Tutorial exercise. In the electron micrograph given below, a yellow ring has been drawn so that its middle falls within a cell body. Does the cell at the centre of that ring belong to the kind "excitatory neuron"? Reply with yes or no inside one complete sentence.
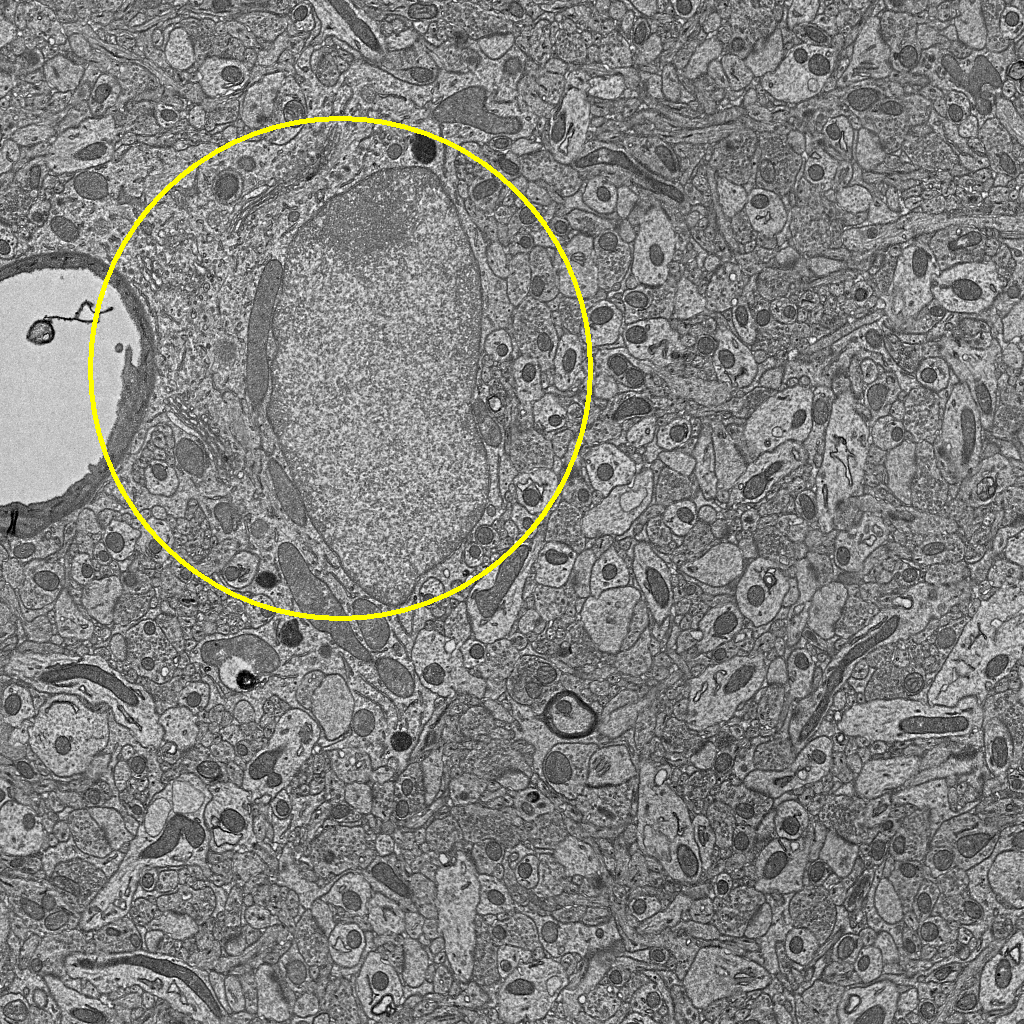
No, the cell at the centre of the ring in the picture is of a different kind.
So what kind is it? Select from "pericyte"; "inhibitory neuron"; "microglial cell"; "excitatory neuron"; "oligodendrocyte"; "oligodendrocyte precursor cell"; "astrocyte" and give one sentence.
The cell in question here is an astrocyte.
